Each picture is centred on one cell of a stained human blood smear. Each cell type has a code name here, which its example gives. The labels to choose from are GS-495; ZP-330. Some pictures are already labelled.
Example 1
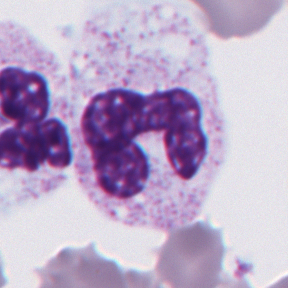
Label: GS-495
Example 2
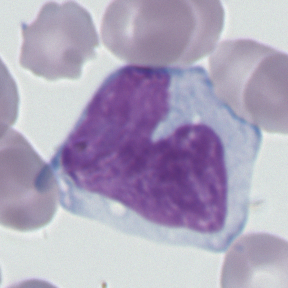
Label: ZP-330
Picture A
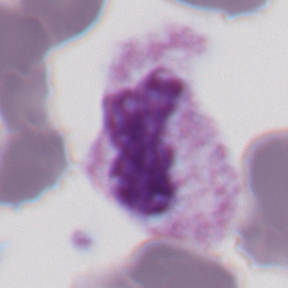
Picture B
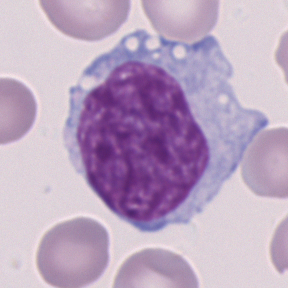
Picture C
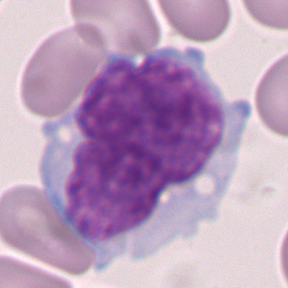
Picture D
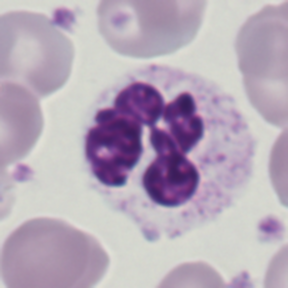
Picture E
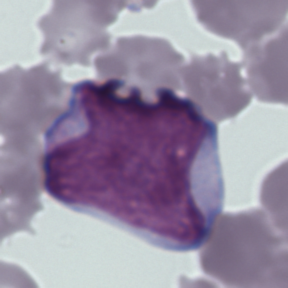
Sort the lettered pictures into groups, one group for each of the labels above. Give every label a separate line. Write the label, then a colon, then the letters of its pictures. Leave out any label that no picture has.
GS-495: A, D
ZP-330: B, C, E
